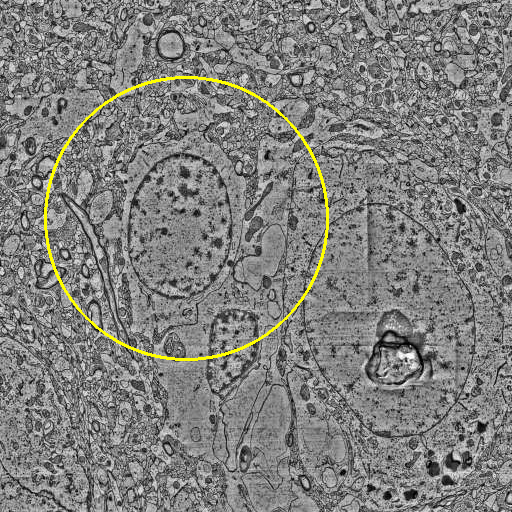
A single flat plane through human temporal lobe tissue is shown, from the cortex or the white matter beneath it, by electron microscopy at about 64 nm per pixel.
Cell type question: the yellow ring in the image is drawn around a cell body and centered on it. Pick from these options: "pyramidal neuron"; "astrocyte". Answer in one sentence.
The ringed cell at the center is an astrocyte.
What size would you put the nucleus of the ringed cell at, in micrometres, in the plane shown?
About 9 by 7 micrometers, in this plane.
